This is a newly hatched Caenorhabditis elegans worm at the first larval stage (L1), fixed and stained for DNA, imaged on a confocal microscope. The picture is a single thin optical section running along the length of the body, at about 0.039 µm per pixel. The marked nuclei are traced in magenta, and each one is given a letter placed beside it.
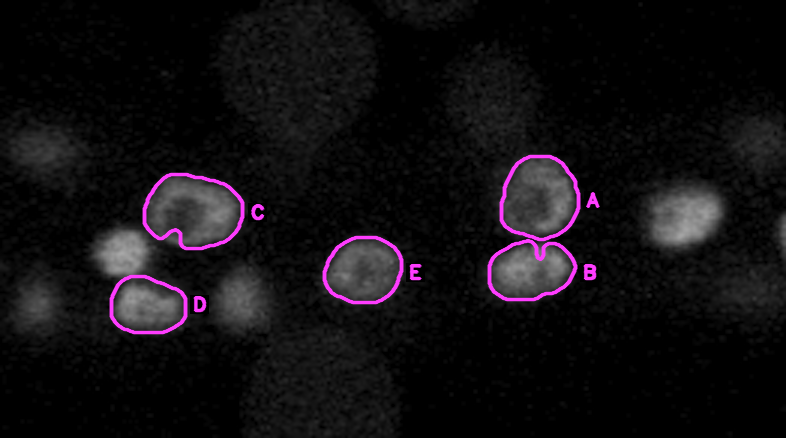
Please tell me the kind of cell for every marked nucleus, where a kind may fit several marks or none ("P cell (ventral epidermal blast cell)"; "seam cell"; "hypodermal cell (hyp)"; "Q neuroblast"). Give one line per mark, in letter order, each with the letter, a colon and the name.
A: hypodermal cell (hyp)
B: P cell (ventral epidermal blast cell)
C: hypodermal cell (hyp)
D: P cell (ventral epidermal blast cell)
E: seam cell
